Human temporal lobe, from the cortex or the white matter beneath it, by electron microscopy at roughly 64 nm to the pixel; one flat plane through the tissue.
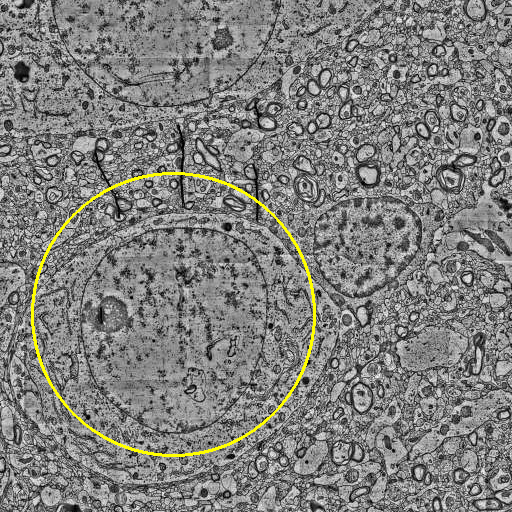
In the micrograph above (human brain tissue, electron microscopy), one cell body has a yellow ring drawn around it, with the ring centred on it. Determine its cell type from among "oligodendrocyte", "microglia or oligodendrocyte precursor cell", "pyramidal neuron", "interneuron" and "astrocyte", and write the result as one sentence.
The cell whose body is ringed is a pyramidal neuron.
